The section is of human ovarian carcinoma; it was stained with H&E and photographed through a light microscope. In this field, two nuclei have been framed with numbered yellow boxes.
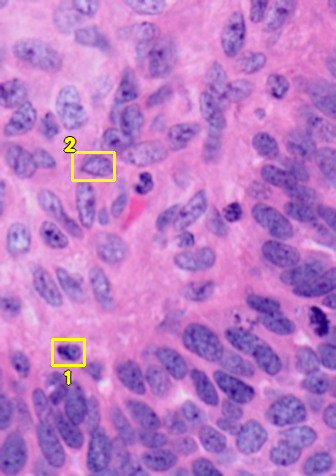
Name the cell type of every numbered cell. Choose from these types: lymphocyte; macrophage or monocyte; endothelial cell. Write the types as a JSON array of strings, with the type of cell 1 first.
["lymphocyte", "endothelial cell"]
